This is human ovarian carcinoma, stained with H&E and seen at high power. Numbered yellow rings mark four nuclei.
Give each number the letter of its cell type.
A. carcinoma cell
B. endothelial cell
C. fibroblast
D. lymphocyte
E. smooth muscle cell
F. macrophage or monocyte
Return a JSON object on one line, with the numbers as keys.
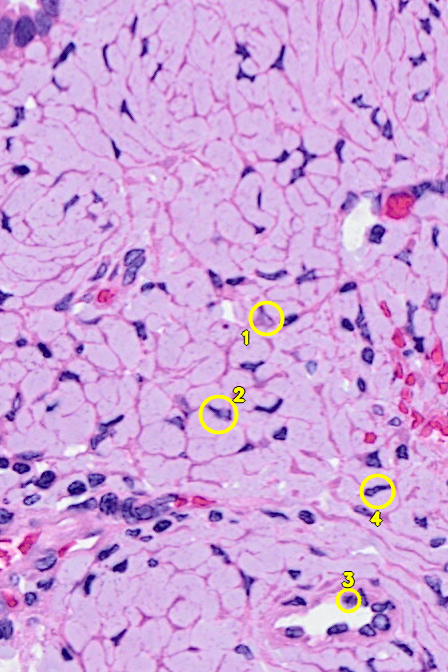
{"1": "C", "2": "C", "3": "B", "4": "C"}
